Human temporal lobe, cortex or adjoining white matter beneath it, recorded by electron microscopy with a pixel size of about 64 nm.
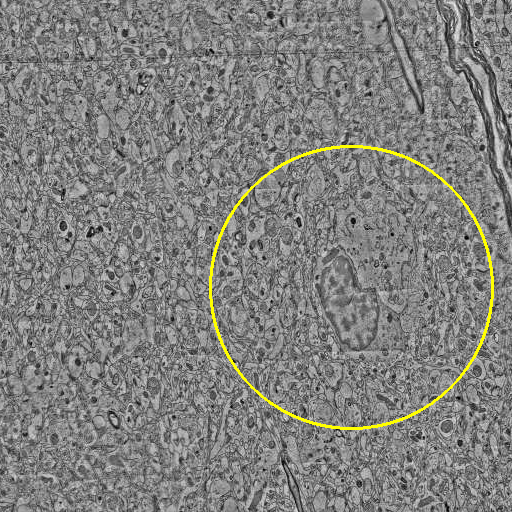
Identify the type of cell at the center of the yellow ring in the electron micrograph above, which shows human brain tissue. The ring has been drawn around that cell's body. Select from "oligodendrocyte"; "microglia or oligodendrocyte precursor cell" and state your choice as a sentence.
The yellow ring is centered on the body of an oligodendrocyte.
